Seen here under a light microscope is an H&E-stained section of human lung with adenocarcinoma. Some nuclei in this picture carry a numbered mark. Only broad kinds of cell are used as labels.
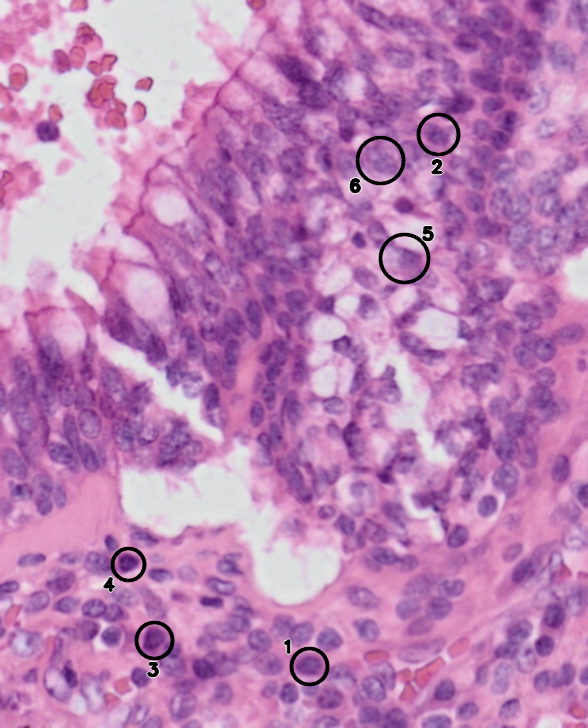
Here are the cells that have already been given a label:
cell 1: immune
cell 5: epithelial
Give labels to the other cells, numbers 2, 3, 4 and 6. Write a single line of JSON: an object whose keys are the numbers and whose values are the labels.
{"2": "epithelial", "3": "immune", "4": "immune", "6": "epithelial"}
